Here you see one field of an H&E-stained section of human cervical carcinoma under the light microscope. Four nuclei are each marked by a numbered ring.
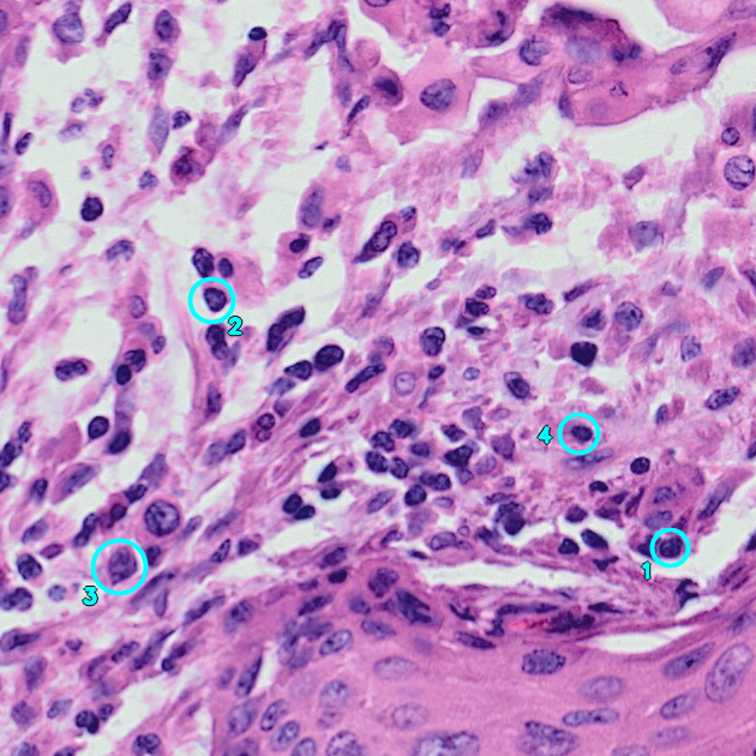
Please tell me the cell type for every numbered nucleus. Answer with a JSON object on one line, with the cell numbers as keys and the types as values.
{"1": "lymphocyte", "2": "lymphocyte", "3": "macrophage or monocyte", "4": "lymphocyte"}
